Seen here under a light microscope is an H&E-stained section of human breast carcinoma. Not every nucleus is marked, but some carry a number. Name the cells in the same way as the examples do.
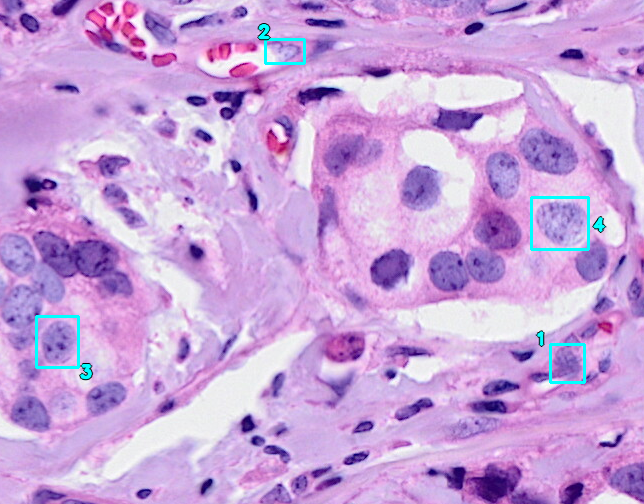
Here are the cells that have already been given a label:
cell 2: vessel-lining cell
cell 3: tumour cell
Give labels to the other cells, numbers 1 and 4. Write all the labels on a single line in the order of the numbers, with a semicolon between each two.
vessel-lining cell; tumour cell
